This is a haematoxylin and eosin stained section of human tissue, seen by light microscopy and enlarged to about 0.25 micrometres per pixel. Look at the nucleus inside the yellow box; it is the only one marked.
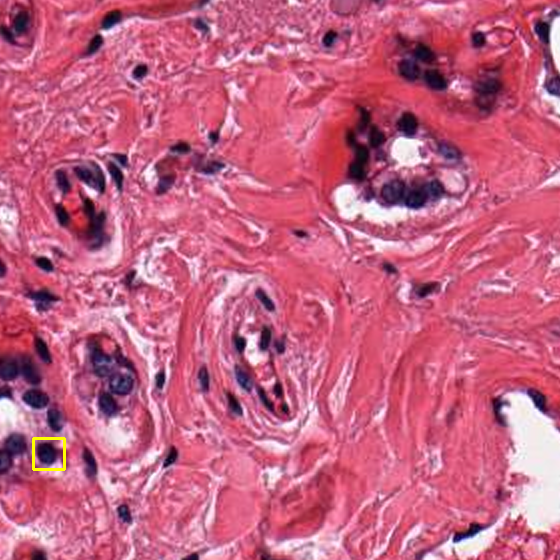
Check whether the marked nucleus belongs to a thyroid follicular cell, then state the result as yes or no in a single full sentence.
Yes, the marked nucleus is recognised as belonging to a thyroid follicular cell.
